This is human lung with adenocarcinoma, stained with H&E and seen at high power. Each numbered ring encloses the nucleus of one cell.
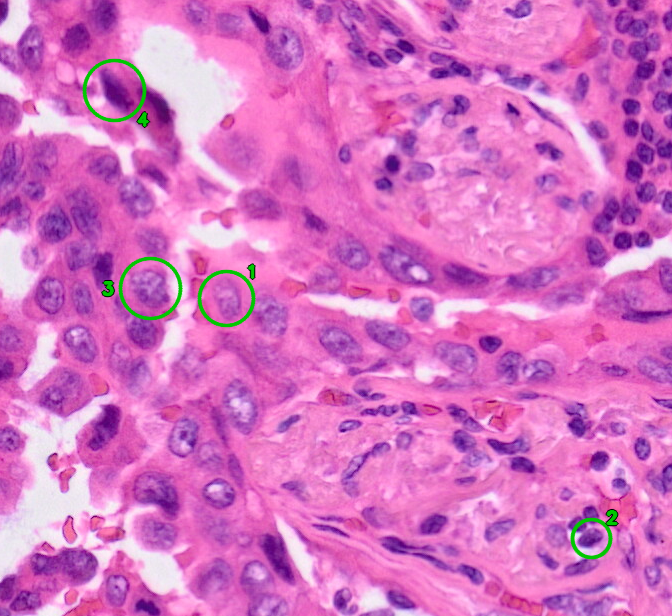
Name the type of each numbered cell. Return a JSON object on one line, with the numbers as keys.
{"1": "carcinoma cell", "2": "lymphocyte", "3": "carcinoma cell", "4": "carcinoma cell"}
